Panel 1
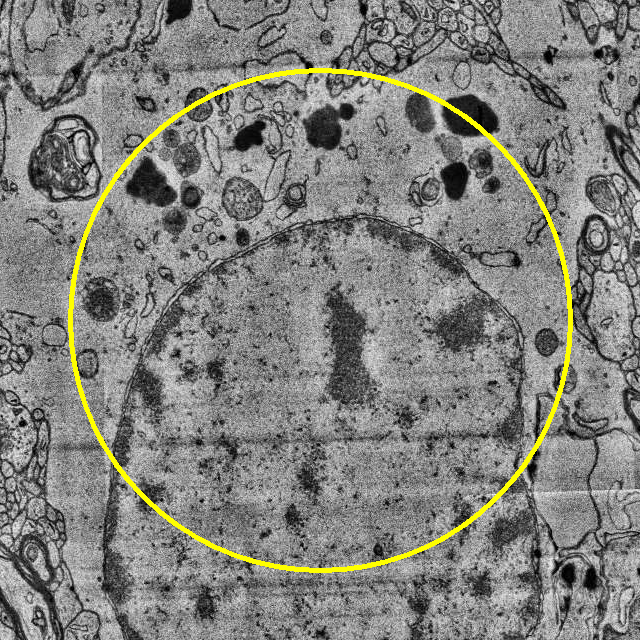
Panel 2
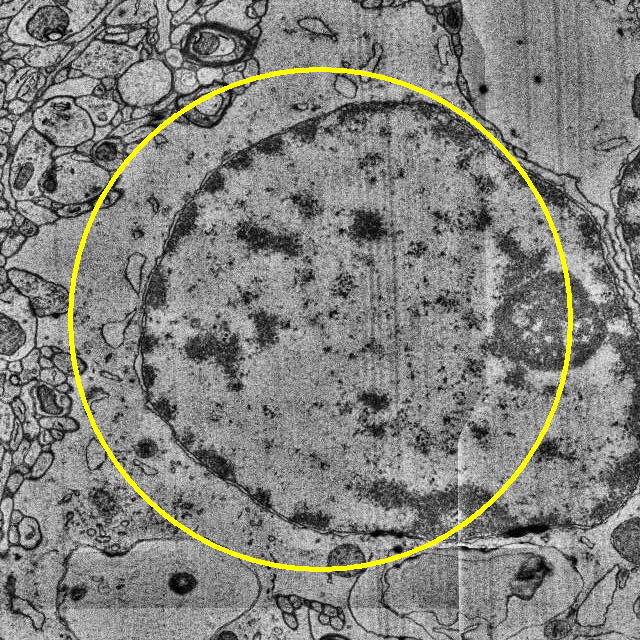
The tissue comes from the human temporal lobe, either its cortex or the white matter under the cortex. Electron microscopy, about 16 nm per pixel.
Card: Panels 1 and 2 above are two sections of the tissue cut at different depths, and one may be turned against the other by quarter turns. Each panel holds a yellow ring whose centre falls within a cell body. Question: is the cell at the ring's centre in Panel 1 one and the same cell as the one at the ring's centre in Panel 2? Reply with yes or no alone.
yes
